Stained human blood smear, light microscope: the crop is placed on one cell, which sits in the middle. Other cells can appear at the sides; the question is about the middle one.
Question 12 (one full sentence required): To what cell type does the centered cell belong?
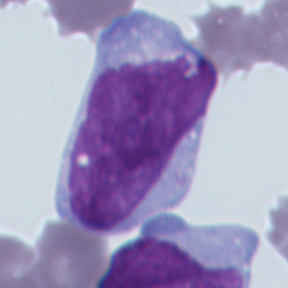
The cell nearest the centre of this crop is a myeloblast.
